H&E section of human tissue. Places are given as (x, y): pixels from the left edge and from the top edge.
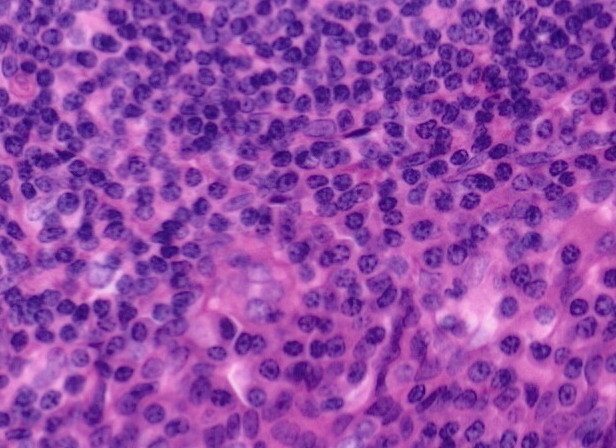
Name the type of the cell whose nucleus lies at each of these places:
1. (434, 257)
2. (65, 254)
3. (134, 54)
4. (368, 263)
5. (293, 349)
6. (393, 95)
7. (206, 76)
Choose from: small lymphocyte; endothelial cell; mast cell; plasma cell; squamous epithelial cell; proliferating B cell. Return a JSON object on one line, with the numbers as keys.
{"1": "plasma cell", "2": "plasma cell", "3": "small lymphocyte", "4": "plasma cell", "5": "plasma cell", "6": "small lymphocyte", "7": "small lymphocyte"}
